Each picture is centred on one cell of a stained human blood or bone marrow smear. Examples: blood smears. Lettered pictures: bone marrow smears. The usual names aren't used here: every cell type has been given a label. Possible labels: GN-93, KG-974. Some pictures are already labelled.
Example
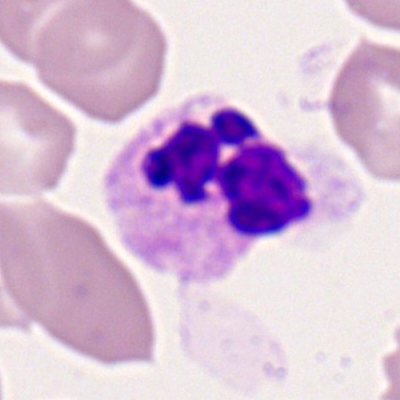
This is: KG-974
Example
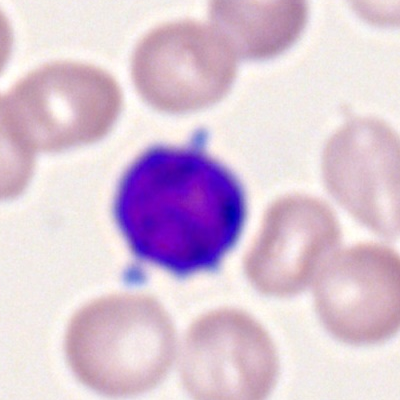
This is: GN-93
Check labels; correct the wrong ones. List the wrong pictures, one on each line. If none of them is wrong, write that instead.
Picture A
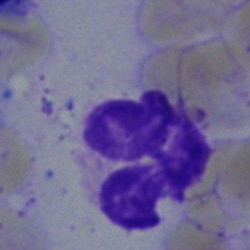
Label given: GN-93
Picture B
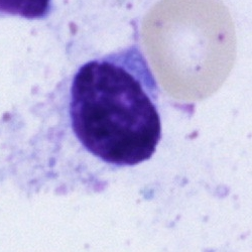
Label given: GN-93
A: not GN-93 but KG-974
